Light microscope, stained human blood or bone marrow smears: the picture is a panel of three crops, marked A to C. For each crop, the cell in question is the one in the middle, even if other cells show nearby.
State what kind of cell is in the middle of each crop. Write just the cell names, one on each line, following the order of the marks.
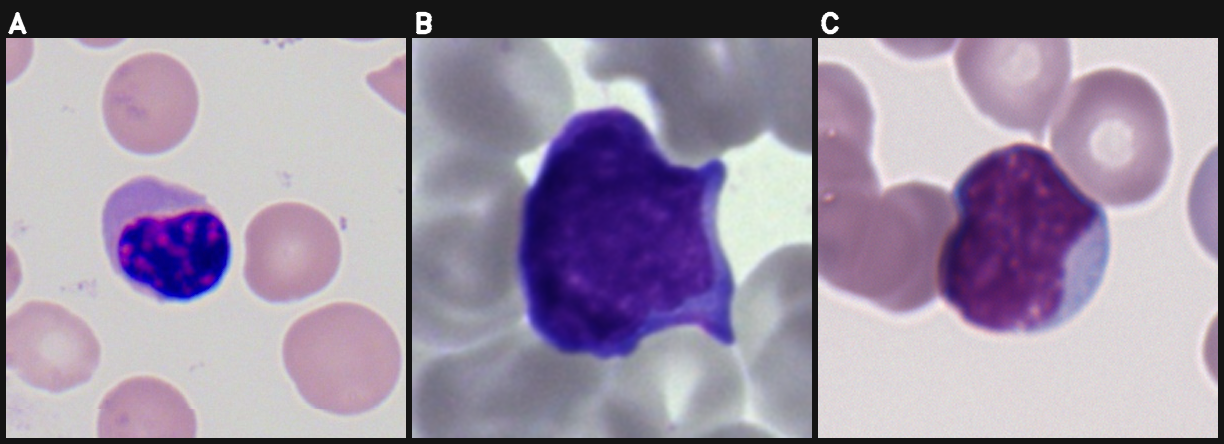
erythroblast
blast
blast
